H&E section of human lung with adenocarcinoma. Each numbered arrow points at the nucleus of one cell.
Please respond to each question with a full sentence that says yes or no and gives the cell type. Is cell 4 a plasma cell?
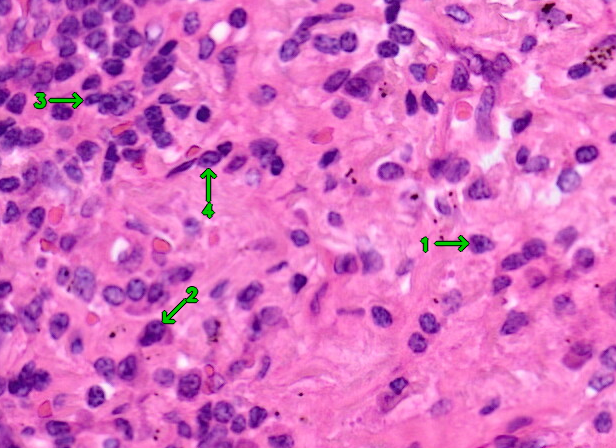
No, the cell indicated by 4 is a lymphocyte instead of a plasma cell.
